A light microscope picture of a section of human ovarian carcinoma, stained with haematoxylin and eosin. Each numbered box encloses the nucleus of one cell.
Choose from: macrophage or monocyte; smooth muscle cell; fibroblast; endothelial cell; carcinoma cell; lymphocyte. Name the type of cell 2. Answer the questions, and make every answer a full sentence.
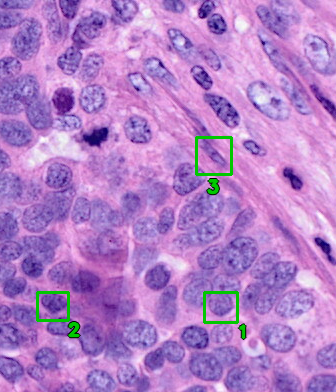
The mark numbered 2 indicates the nucleus of a carcinoma cell.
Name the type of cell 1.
The cell that bears the number 1 is a carcinoma cell.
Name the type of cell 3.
Recognised here as a fibroblast is the cell numbered 3.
